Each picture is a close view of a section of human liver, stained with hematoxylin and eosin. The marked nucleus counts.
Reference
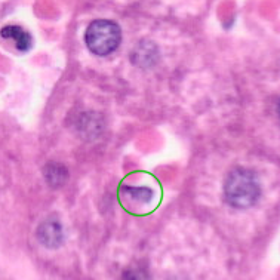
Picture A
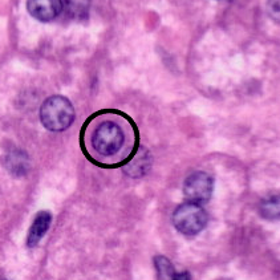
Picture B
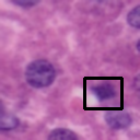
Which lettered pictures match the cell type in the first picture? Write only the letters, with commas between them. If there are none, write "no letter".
B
